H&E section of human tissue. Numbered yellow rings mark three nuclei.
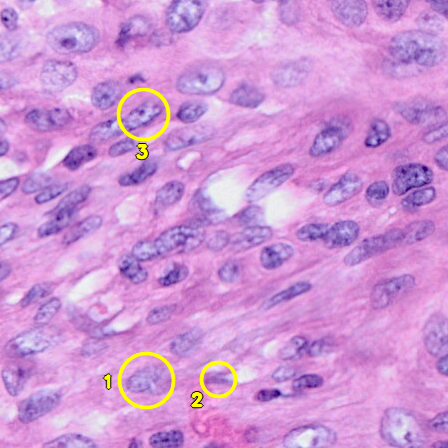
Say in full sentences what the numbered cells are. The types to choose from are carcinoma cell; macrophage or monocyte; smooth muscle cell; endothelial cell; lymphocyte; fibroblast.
Cell 1 is a fibroblast, cell 2 is a fibroblast and cell 3 is an endothelial cell.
